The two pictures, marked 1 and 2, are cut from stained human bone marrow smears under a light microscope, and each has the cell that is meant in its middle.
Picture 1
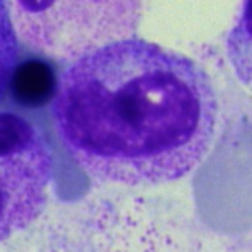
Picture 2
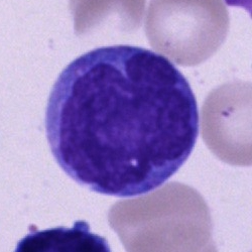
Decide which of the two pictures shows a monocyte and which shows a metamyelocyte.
1: metamyelocyte
2: monocyte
